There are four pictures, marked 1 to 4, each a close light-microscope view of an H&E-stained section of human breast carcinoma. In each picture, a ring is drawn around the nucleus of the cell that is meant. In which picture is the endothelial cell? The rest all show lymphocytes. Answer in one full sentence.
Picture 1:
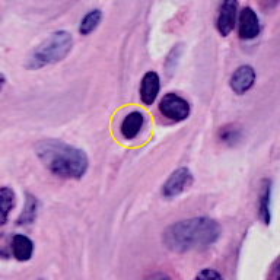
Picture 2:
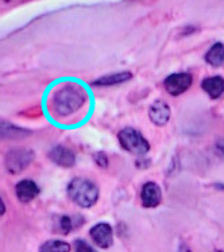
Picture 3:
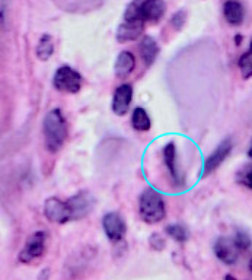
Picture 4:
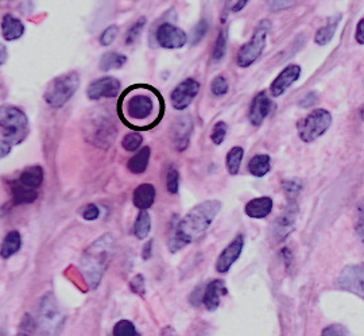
It is picture 2 that shows the endothelial cell.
